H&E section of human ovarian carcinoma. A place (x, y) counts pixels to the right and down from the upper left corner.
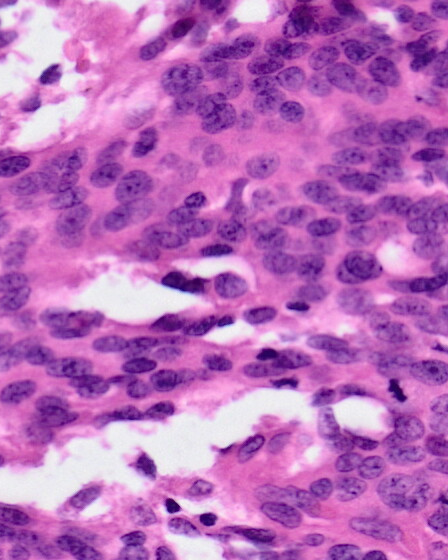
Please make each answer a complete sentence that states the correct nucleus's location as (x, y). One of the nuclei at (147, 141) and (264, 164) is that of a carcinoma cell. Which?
Among the two nuclei, the one found at (264, 164) belongs to a carcinoma cell.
